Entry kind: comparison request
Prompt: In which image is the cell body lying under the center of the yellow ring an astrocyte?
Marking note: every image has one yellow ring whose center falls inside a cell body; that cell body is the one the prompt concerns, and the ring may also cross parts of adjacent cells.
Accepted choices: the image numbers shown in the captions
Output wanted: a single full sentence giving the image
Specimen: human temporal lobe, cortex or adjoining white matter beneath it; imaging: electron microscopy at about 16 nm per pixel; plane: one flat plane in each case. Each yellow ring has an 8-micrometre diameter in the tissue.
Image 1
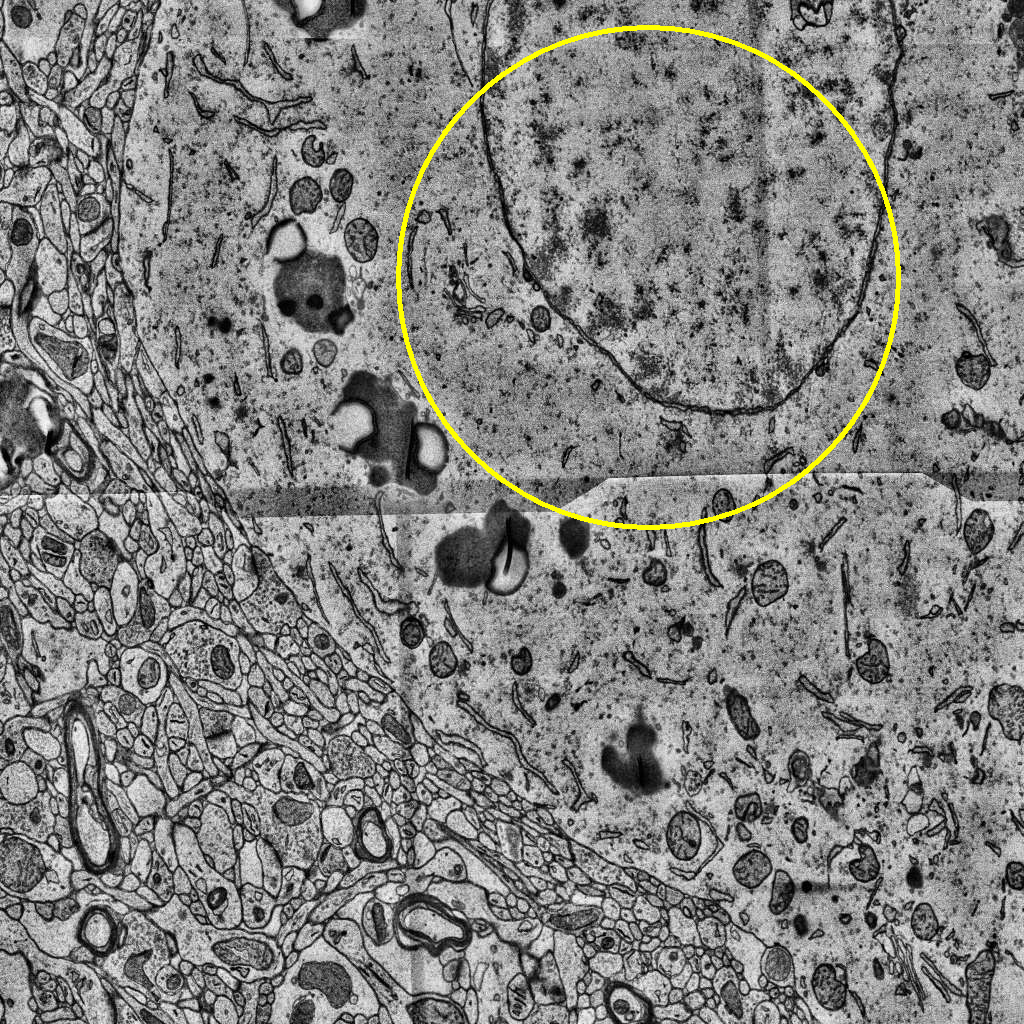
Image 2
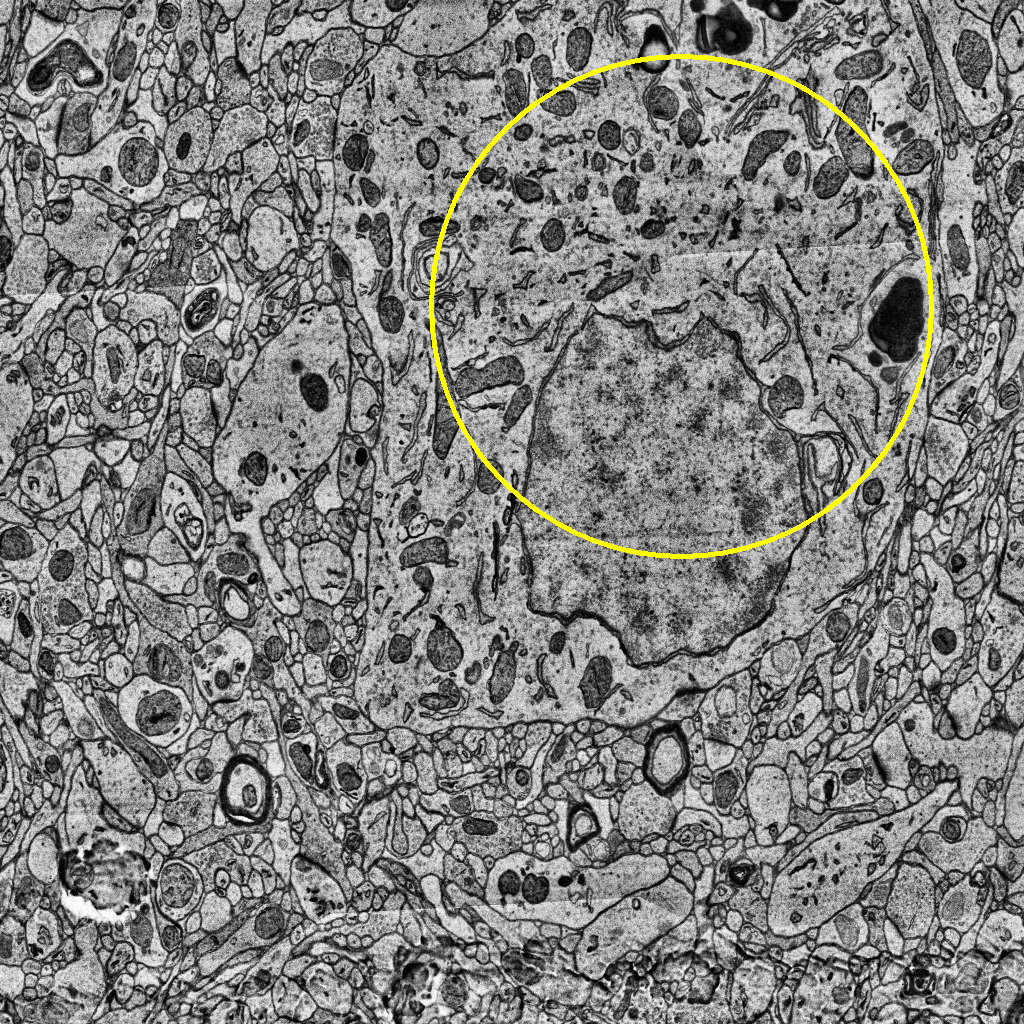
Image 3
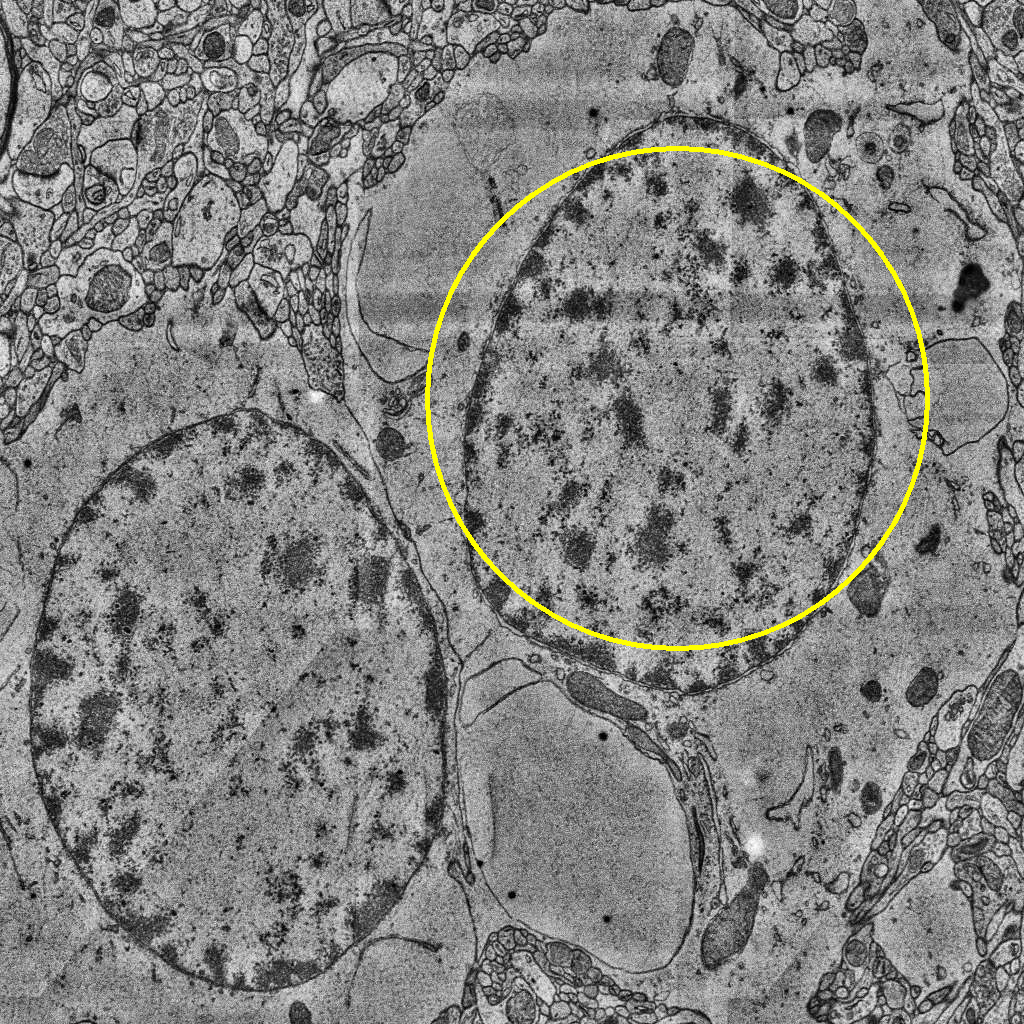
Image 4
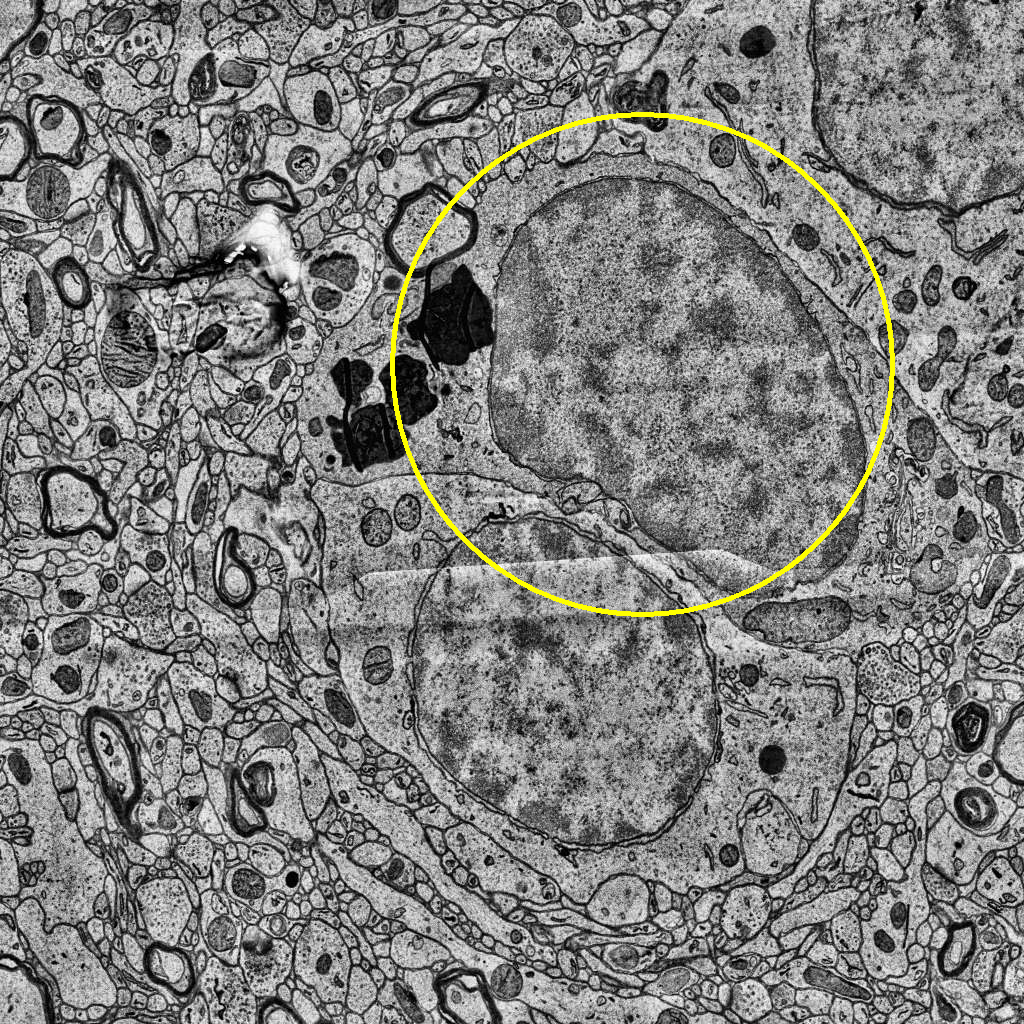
In image 3, the cell holding the center of the yellow ring matches the prompt.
